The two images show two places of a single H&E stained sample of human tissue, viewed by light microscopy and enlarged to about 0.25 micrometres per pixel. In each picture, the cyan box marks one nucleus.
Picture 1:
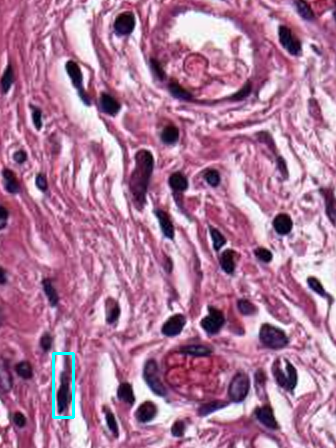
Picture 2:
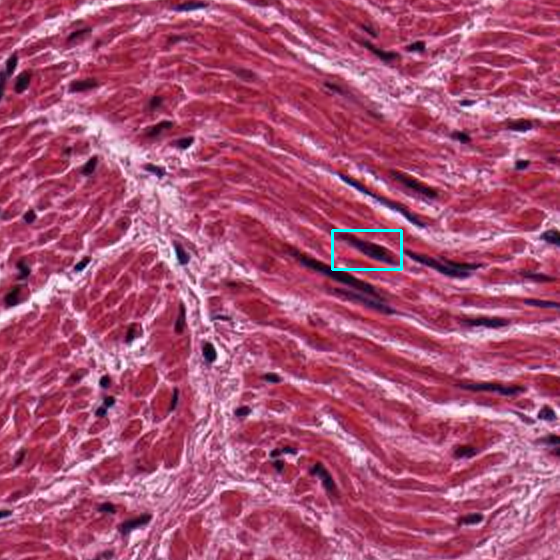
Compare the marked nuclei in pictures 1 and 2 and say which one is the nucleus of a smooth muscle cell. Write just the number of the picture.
2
